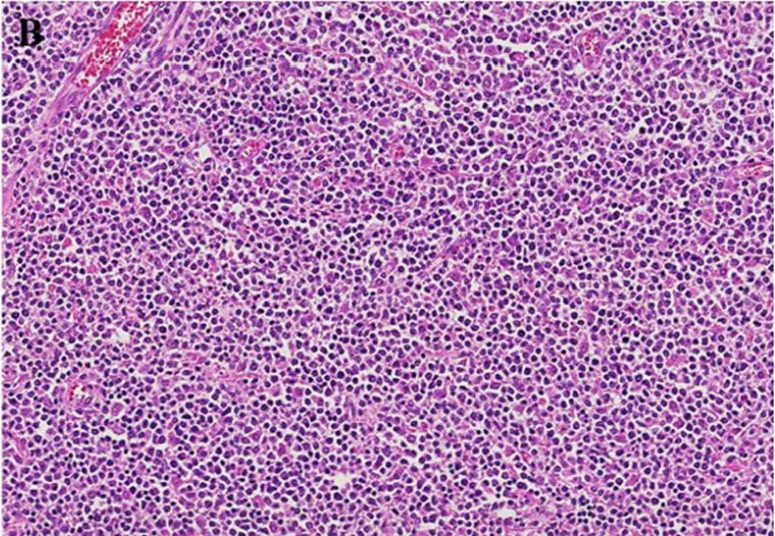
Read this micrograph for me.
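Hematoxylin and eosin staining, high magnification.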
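Atypical lymphoid cells of medium size form a diffuse, solid sheet. They have round, dark purple nuclei and scant pink cytoplasm and lie closely packed without any glandular arrangement. Only a few thin-walled small blood vessels containing red cells run through the sheet.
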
